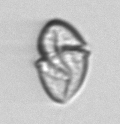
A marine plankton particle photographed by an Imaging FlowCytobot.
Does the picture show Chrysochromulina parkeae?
No, it shows Gyrodinium.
